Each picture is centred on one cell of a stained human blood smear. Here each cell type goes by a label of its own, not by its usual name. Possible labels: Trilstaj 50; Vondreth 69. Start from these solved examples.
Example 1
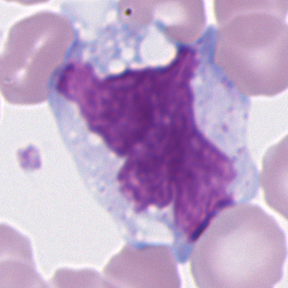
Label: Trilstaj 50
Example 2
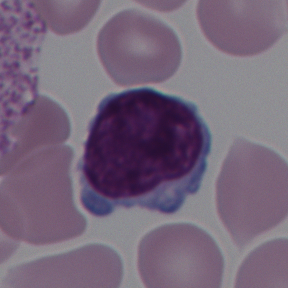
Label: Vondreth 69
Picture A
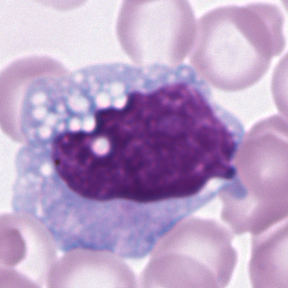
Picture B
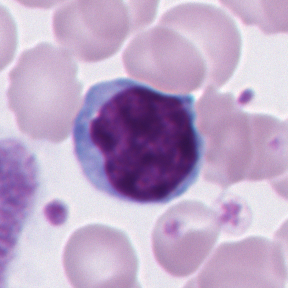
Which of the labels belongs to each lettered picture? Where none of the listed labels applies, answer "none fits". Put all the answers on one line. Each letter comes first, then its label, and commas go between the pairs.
A Trilstaj 50, B Vondreth 69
